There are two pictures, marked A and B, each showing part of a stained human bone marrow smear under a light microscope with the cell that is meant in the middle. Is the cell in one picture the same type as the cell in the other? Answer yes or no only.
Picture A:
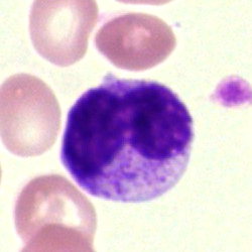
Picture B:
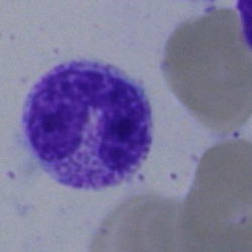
yes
